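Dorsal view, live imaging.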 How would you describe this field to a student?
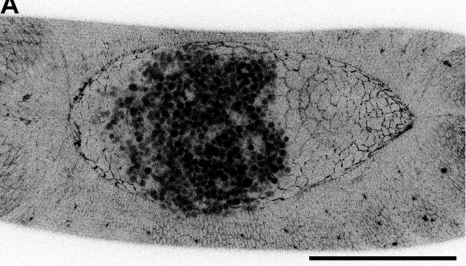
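Cell outlines show as a dark network, and the cells filling the opening are far larger than the small, densely packed epidermal cells on either side. Many dark round dots crowd the anterior half of the opening, while the posterior half shows the polygonal cell outlines clearly.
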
